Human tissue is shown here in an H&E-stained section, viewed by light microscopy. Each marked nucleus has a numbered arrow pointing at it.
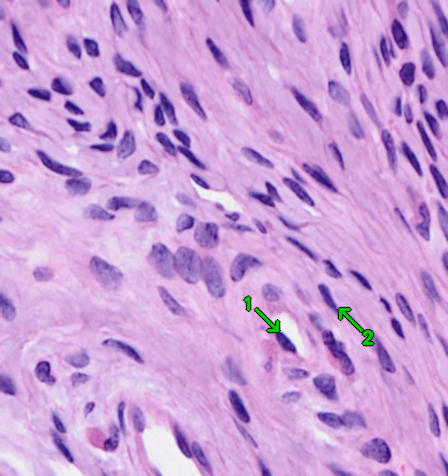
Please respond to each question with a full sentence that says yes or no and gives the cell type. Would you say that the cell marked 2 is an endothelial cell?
No, the marker 2 sits on a fibroblast, not on an endothelial cell.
